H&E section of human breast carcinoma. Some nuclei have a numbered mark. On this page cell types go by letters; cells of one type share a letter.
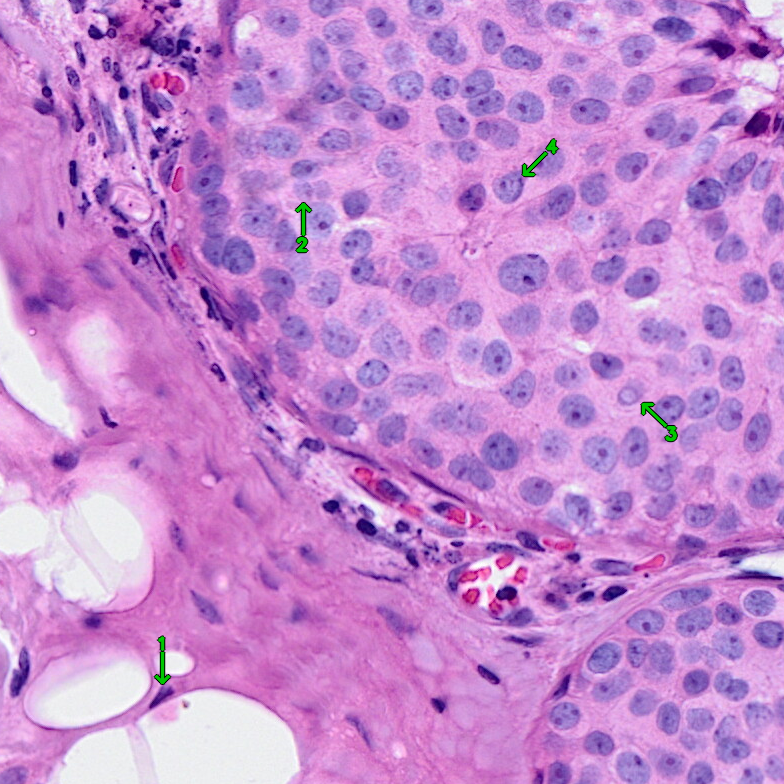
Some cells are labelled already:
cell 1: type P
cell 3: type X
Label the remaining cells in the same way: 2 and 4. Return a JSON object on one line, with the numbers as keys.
{"2": "type X", "4": "type X"}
